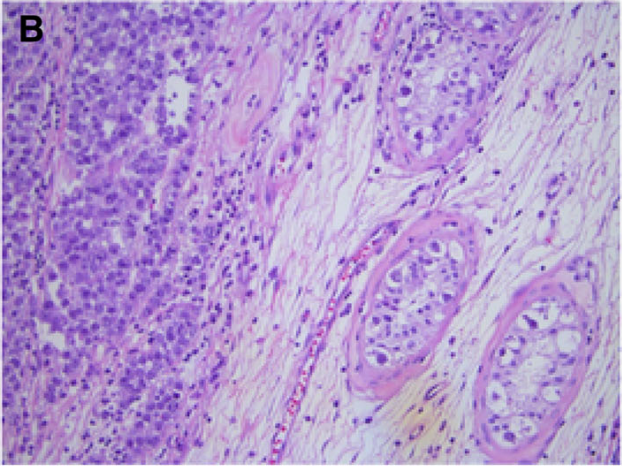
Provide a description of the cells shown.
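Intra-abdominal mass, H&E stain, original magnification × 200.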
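On the left lies a dense sheet of tumour cells with large, dark purple, rounded nuclei and scant cytoplasm, somewhat loosely arranged with small clefts. To the right is loose, pale pink fibrous stroma with a small blood vessel containing red cells. Within the stroma sit several round residual seminiferous tubules, each bounded by a thick pink hyalinised basement membrane. Their lumens hold large cells with clear, pale cytoplasm and enlarged rounded nuclei, lying along the tubule wall, without an ordinary maturing germ cell lining, consistent with germ cell neoplasia in situ.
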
